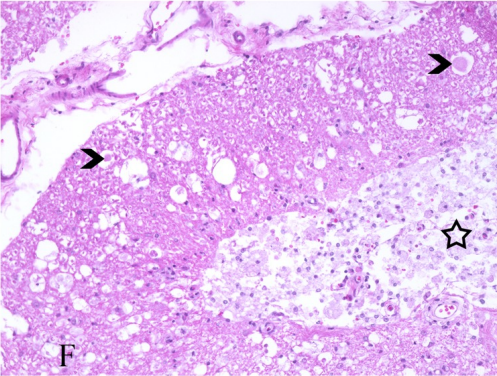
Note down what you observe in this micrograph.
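Spinal cord with malacic grey matter beside damaged white matter. A band of denser pink white matter runs across the upper and left part of the field. It is riddled with round, clear spaces of many sizes, and some of these contain a swollen, homogeneous pink body. To the lower right the grey matter is pale and loosened, with a loose meshwork holding scattered rounded cells with pale cytoplasm and small dark nuclei. A thin vessel-bearing membrane lines the upper edge, and a small vessel lies at the lower right.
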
